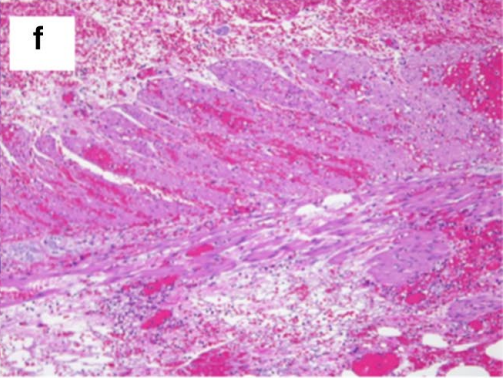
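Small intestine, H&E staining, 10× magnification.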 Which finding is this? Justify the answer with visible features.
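Abundant bright red blood cells lie scattered between pink muscle fibres. Red blood cells are outside vessels, spread through the tissue. So: bleeding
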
